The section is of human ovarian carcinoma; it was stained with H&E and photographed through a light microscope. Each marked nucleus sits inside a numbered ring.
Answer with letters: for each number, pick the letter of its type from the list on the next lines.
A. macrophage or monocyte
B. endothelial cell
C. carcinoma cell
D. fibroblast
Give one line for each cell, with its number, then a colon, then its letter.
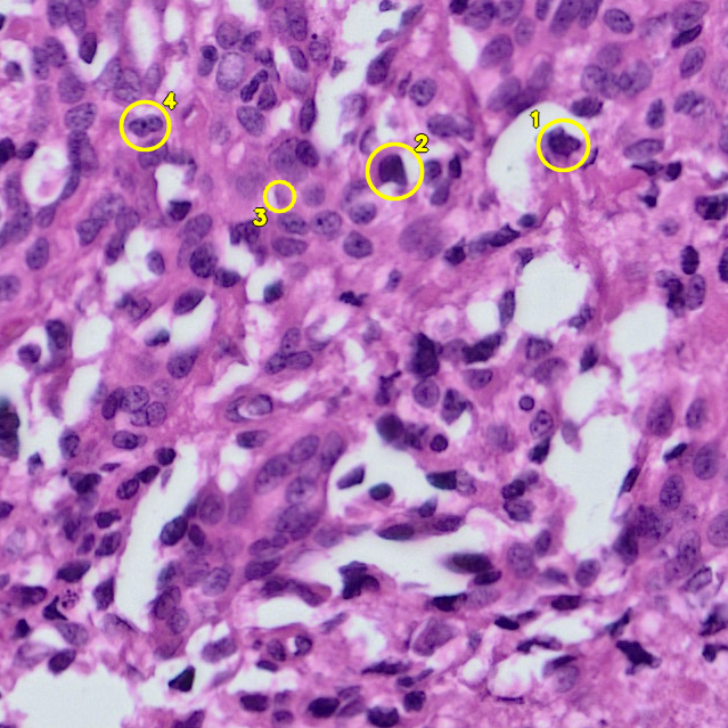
1: C
2: C
3: C
4: A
